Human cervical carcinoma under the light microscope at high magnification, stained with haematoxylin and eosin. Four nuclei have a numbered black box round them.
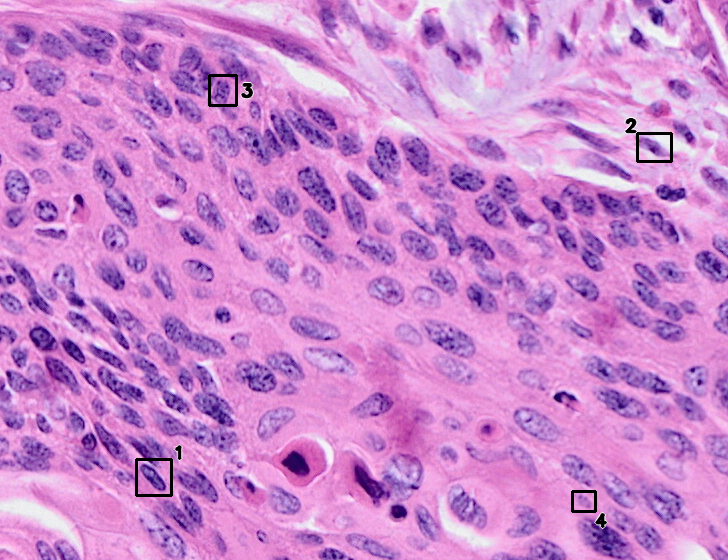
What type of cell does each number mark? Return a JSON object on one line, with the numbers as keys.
{"1": "squamous carcinoma cell", "2": "fibroblast", "3": "squamous carcinoma cell", "4": "squamous carcinoma cell"}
